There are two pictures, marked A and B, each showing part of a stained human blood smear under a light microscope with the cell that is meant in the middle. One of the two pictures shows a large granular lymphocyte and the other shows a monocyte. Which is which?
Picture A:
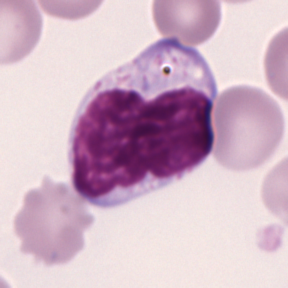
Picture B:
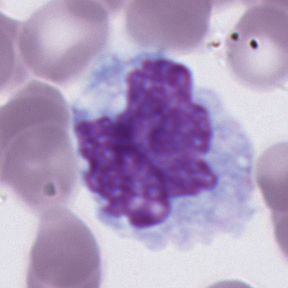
A: large granular lymphocyte
B: monocyte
